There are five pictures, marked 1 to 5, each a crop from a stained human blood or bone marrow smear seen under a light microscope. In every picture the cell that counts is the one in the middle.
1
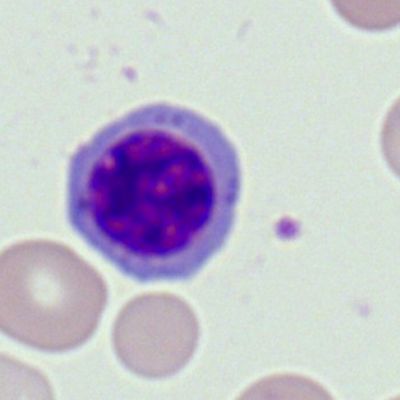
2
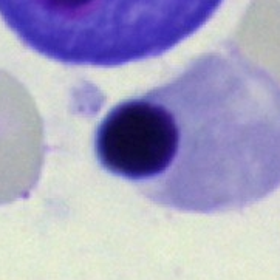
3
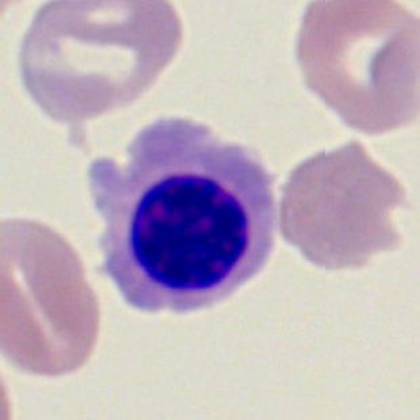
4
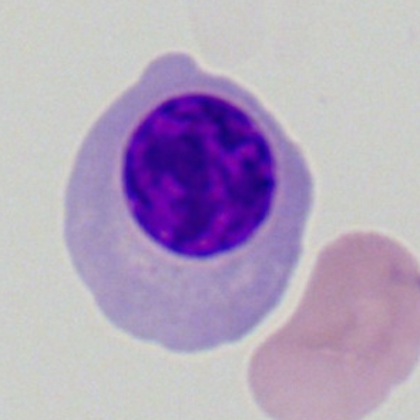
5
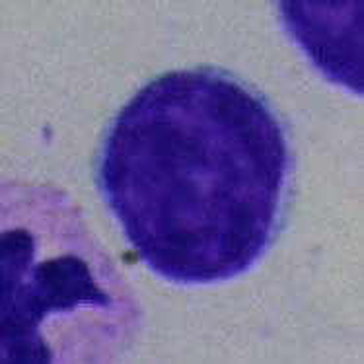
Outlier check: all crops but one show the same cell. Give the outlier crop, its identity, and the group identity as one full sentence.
Crop 5 stands apart from the rest as a lymphocyte, the others all being normoblasts.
